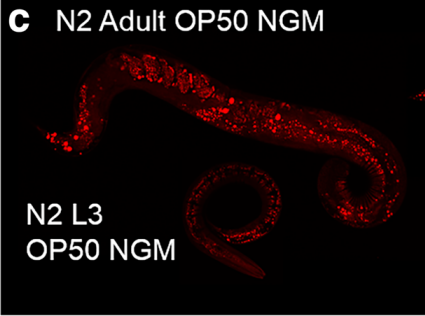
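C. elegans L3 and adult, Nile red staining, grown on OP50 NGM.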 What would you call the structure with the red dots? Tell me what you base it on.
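Many red droplets are scattered through the bodies of the worms. The droplets are dense in the body of the large worm. On this evidence: fat stores.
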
